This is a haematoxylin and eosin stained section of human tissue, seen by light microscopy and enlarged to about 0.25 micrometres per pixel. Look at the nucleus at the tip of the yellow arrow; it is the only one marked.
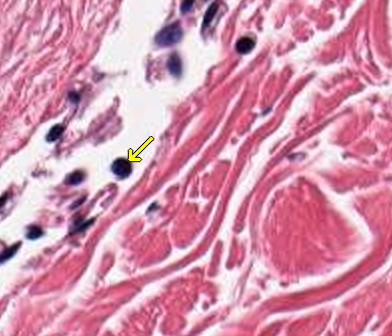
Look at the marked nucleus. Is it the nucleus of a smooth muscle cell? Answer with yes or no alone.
no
